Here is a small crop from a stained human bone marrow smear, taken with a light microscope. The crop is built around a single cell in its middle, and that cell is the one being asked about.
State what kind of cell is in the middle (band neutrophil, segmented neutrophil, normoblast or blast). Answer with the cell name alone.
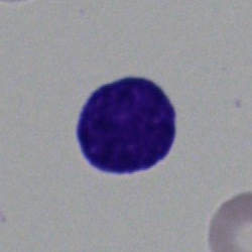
blast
